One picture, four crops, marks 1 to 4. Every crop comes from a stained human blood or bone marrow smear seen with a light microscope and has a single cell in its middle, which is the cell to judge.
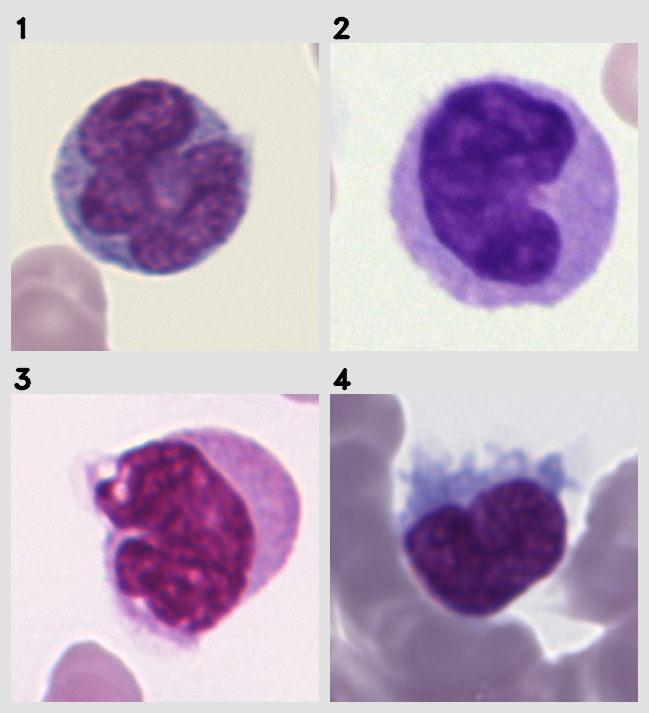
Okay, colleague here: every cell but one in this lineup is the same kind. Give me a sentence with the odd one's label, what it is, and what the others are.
All of the other crops show monocytes, while crop 4 shows a hairy cell instead.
